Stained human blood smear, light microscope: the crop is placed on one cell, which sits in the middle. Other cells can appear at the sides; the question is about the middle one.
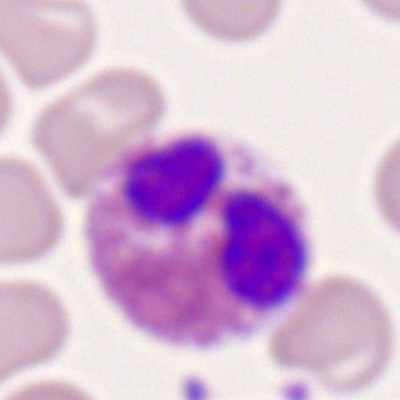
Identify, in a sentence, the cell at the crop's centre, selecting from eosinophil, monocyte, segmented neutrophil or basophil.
Of the cells in this crop, the central one is an eosinophil.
